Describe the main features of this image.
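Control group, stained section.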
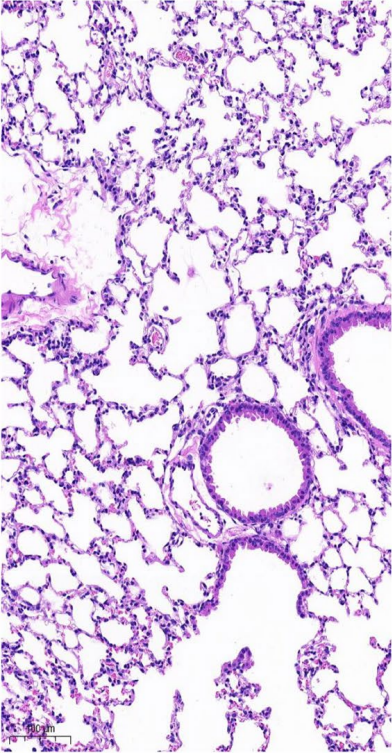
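This is lung tissue showing airways set among orderly alveoli. A round airway in the lower middle is lined by a regular single layer of purple-staining epithelial cells with a thin wall around it, and a second airway curves along the right edge. The surrounding alveoli are open spaces bounded by thin pink septa with scattered small nuclei. At the left edge lies a pale pink, loosely fibrous area. No dense clusters of dark nuclei are seen around the airways.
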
